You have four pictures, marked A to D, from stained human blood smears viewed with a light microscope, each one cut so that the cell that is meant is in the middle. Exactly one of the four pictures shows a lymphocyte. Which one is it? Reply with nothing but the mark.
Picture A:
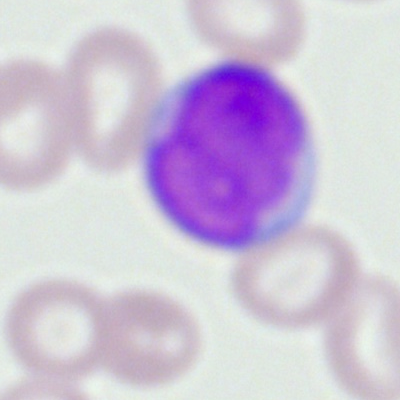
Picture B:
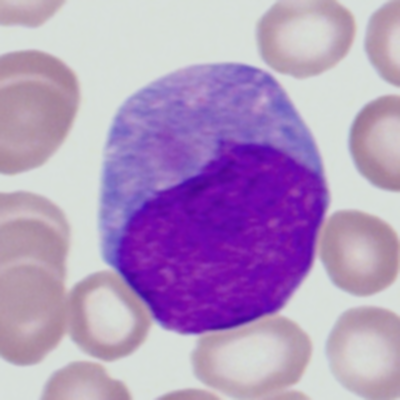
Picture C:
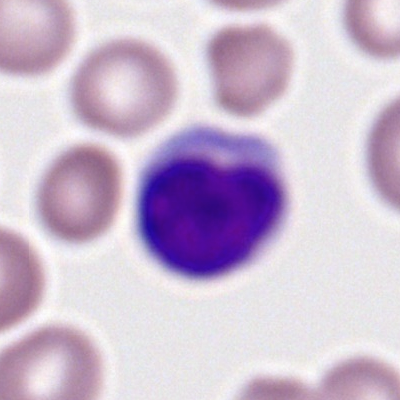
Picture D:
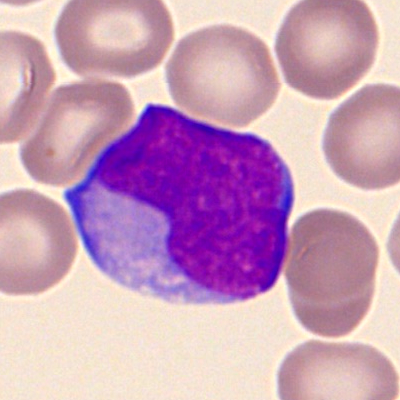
C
